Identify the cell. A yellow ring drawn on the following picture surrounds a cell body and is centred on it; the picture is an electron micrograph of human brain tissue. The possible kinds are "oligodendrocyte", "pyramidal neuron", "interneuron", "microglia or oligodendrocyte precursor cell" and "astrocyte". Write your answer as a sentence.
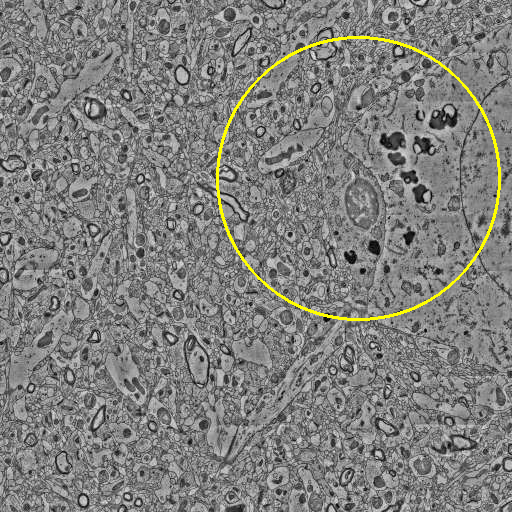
The cell identified by the ring is an oligodendrocyte.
